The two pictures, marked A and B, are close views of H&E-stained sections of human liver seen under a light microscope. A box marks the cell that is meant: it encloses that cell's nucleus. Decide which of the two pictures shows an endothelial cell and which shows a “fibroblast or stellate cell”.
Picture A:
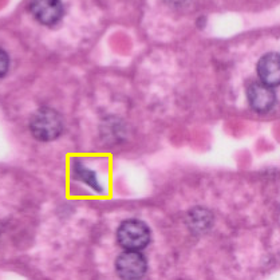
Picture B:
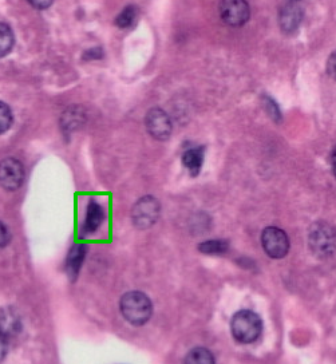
A: endothelial cell
B: fibroblast or stellate cell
